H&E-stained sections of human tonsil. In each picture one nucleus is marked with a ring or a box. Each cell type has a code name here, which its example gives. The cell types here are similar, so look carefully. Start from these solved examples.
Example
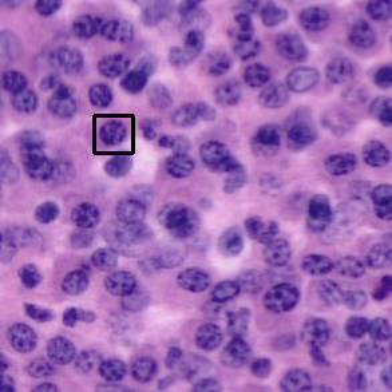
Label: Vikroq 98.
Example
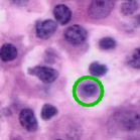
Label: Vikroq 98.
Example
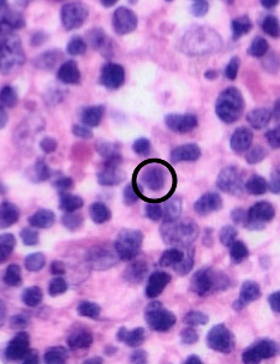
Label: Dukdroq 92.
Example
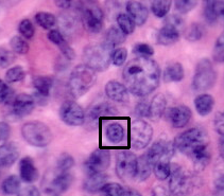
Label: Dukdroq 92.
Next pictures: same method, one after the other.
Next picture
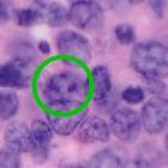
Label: Dukdroq 92.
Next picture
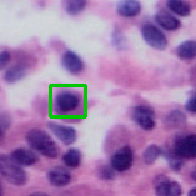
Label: Vikroq 98.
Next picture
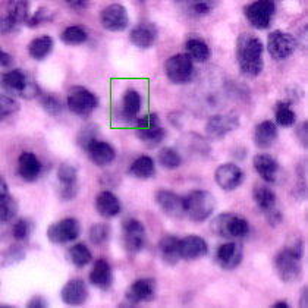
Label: Dukdroq 92.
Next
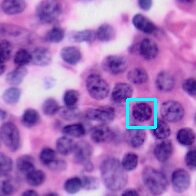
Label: Vikroq 98.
